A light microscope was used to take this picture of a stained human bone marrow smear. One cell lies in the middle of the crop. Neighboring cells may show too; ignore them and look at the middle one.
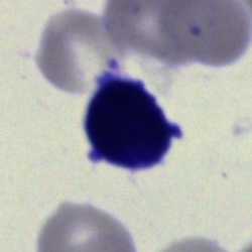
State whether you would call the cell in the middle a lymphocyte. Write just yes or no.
yes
